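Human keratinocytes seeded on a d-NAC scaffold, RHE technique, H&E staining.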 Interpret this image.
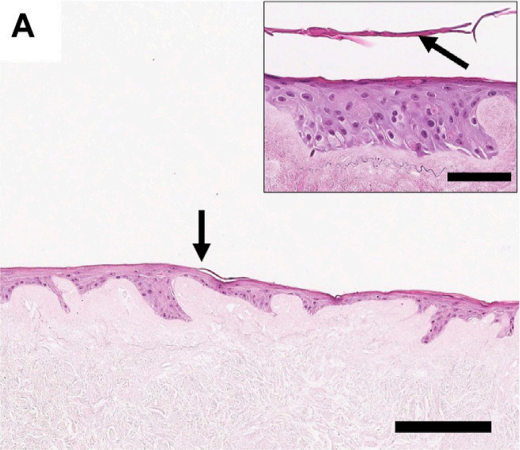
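In the enlarged inset the lower cells are packed with round to oval nuclei and pink cytoplasm, while the cells flatten toward the top. A thin, nucleus-free pink strip has lifted away and lies separated above the surface.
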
